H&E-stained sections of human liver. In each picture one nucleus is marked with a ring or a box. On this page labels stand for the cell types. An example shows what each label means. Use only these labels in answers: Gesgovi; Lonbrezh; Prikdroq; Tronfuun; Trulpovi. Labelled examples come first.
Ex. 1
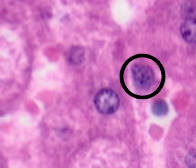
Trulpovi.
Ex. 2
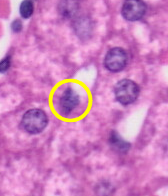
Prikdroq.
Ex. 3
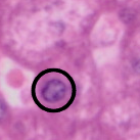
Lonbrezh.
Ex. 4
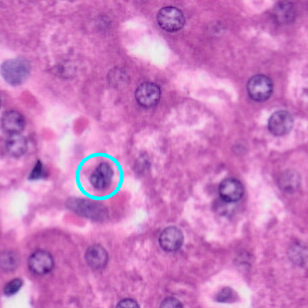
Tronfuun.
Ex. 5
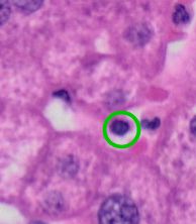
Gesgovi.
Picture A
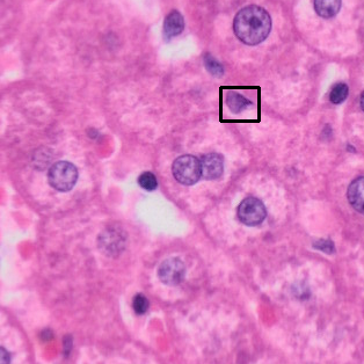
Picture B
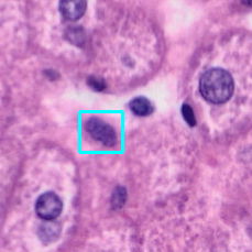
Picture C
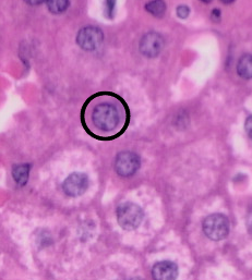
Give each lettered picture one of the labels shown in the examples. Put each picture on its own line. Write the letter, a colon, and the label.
A: Prikdroq.
B: Trulpovi.
C: Lonbrezh.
